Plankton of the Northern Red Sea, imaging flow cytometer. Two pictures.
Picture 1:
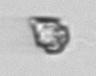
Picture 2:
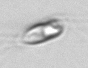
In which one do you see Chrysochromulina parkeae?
In picture 2.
